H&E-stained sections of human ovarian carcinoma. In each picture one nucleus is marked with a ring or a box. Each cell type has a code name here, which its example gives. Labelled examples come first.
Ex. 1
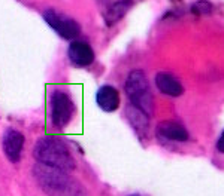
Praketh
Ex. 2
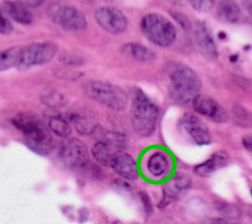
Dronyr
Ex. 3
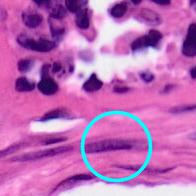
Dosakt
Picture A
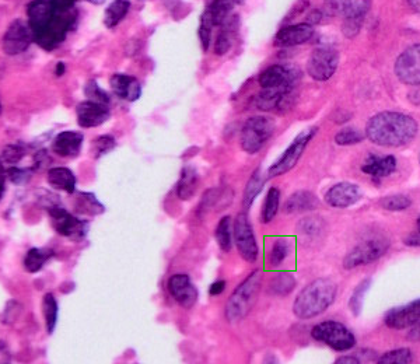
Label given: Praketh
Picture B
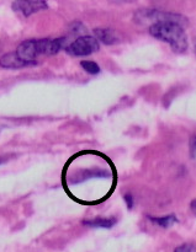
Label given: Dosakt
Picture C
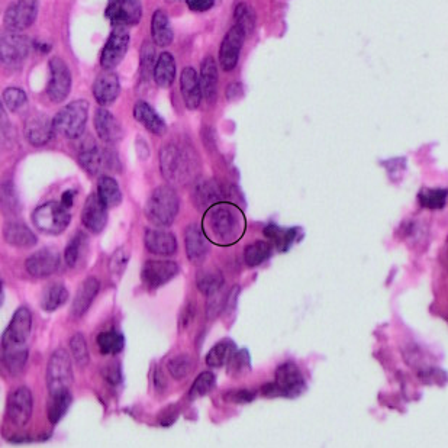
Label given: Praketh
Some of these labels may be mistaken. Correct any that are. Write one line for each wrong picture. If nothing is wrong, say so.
Nothing to fix; every label fits.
